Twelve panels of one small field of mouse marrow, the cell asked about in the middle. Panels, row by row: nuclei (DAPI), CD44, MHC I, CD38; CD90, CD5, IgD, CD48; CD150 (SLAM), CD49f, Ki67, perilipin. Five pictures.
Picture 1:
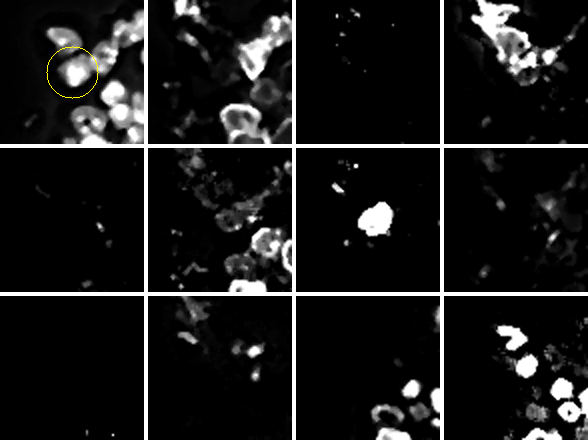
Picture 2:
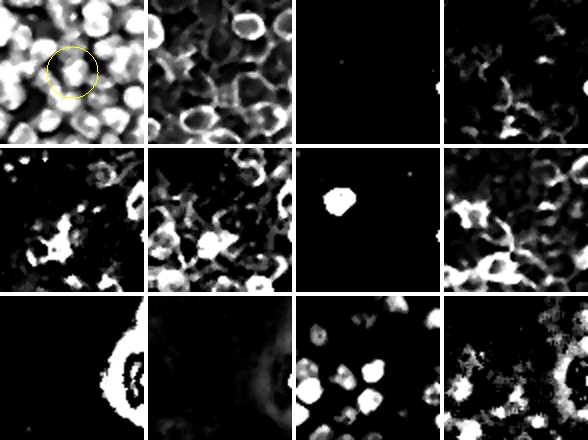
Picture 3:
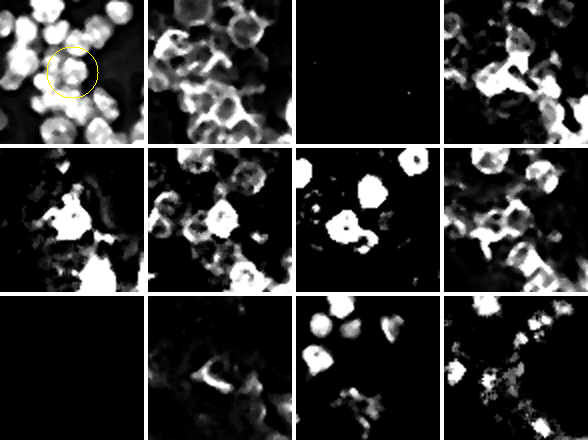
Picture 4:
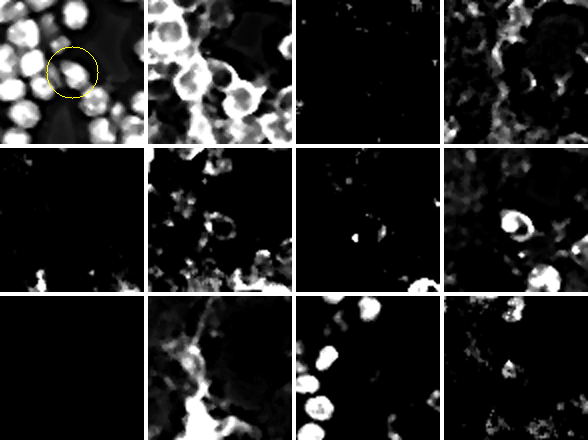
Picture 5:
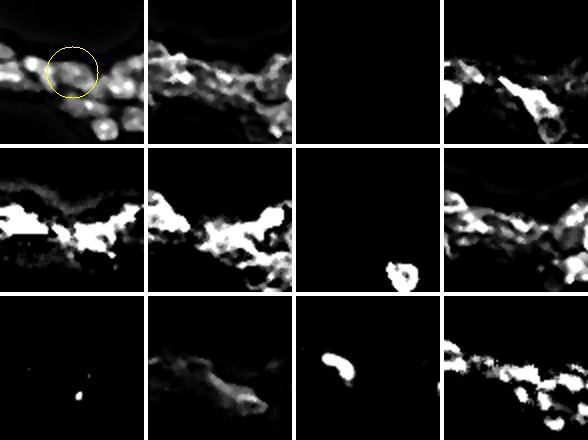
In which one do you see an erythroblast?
In picture 2.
